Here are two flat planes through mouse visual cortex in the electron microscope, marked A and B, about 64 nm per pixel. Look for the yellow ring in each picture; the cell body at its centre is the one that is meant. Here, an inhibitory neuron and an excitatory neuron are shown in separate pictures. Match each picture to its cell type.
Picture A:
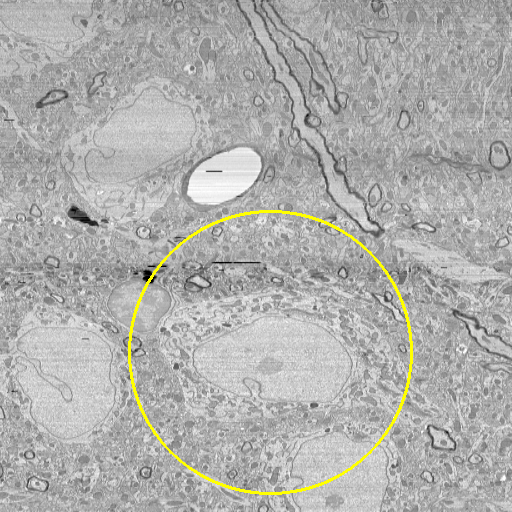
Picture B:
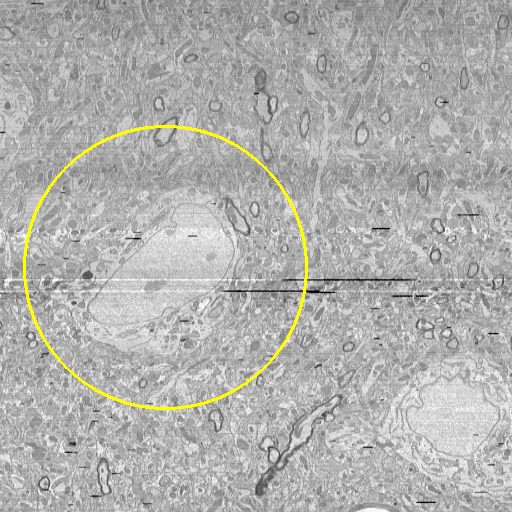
It is picture A that shows an inhibitory neuron, and picture B that shows an excitatory neuron.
